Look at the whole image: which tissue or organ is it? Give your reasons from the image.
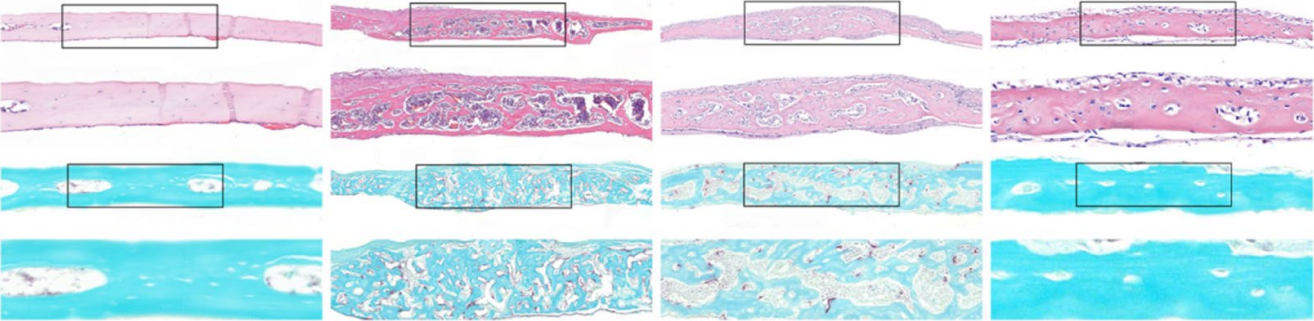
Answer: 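Calvaria. Each image is a thin, elongated plate of bone.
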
